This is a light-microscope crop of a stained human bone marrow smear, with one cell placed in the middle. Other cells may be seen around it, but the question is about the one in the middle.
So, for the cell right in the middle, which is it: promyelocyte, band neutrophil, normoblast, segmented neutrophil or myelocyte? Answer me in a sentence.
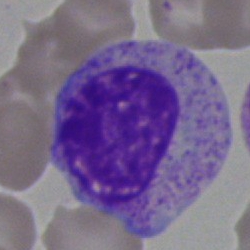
Here the centrally located cell is a myelocyte.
